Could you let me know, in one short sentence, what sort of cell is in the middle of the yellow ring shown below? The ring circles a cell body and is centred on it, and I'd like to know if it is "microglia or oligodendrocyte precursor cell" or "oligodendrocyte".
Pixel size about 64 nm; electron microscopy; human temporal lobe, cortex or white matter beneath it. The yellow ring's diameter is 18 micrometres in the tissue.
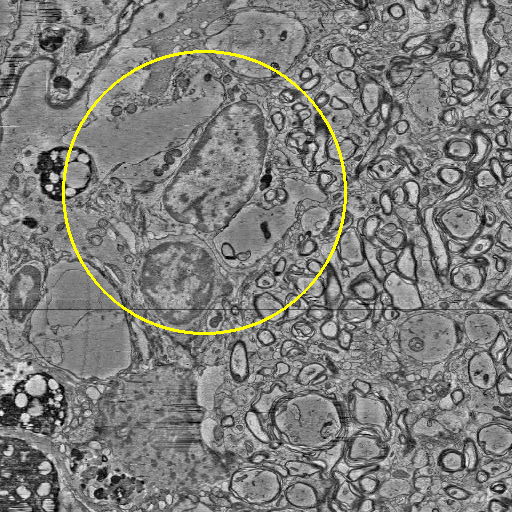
The ring circles the cell body of a microglial cell or oligodendrocyte precursor cell.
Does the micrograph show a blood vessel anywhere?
Yes.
